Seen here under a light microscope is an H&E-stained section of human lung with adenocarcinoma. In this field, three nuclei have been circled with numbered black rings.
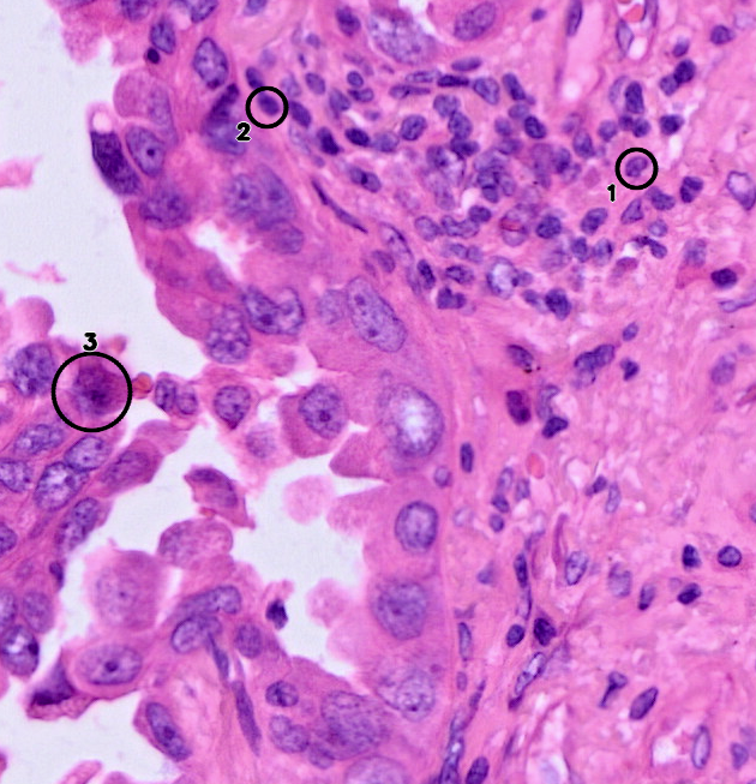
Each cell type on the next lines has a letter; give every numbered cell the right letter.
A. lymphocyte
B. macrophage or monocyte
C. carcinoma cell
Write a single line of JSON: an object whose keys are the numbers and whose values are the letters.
{"1": "A", "2": "A", "3": "C"}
